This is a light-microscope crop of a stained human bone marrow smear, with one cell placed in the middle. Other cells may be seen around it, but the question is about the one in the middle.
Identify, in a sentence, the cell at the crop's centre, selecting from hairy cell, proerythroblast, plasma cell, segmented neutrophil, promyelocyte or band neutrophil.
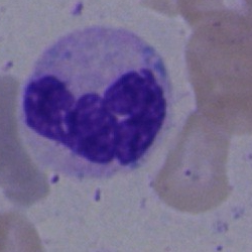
The cell in the middle of the field of view is a segmented neutrophil.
